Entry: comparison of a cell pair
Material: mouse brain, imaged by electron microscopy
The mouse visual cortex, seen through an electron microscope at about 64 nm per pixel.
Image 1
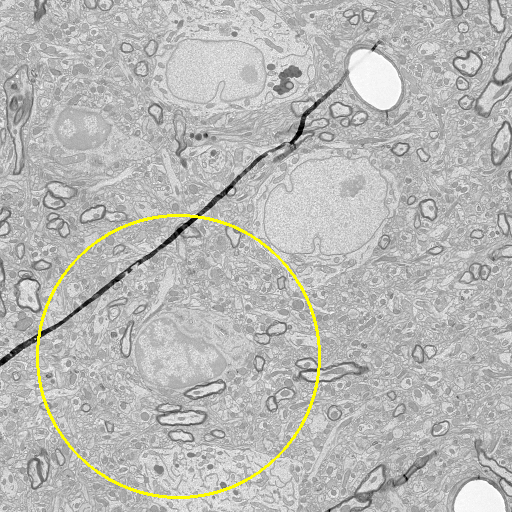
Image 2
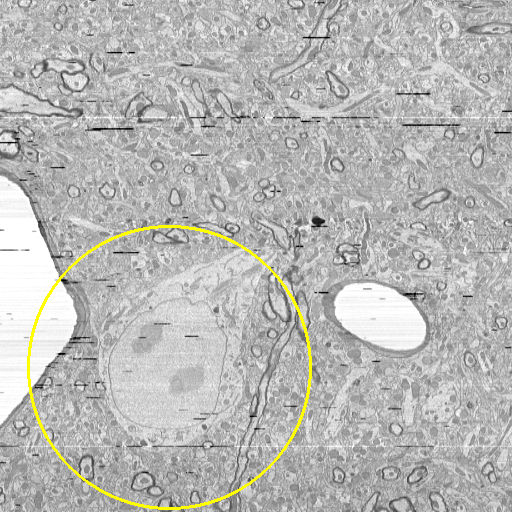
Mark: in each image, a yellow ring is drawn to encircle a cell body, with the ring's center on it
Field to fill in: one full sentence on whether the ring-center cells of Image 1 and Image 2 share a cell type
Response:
No, Image 1 and Image 2 show ring-center cells of two separate types.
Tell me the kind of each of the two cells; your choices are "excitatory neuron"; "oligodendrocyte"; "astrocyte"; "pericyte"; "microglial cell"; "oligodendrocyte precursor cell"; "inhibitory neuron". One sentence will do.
The ringed cell is an oligodendrocyte in the first picture and an excitatory neuron in the second picture.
